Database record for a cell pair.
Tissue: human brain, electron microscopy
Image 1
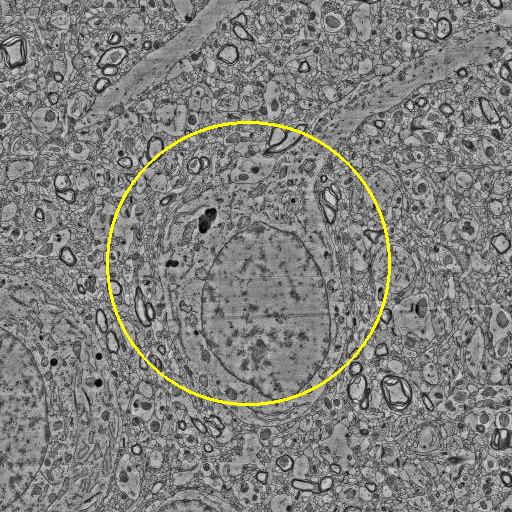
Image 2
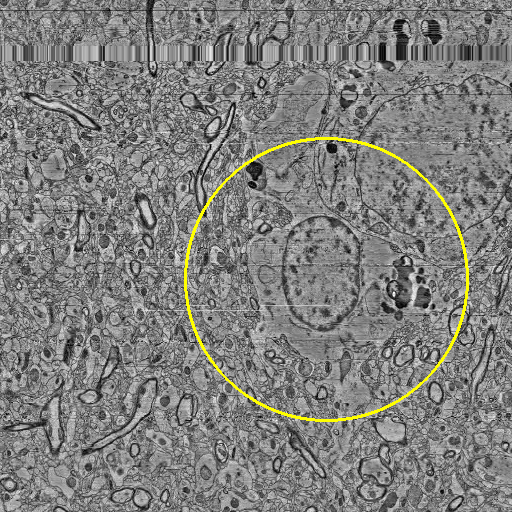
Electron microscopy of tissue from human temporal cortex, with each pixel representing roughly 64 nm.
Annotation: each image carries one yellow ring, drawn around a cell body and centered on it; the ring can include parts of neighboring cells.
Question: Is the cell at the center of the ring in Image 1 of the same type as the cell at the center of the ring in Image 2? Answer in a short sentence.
No, the cells are of two types.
